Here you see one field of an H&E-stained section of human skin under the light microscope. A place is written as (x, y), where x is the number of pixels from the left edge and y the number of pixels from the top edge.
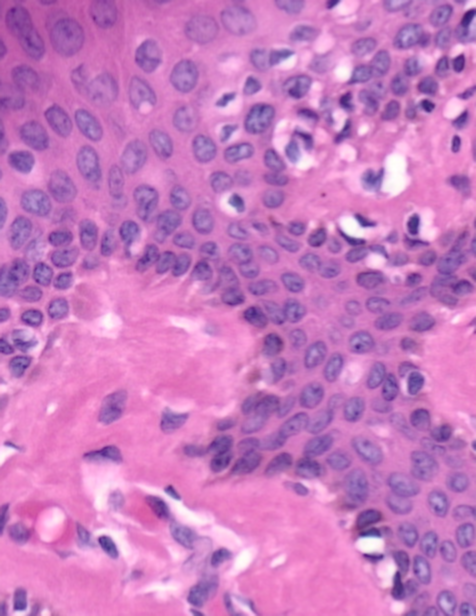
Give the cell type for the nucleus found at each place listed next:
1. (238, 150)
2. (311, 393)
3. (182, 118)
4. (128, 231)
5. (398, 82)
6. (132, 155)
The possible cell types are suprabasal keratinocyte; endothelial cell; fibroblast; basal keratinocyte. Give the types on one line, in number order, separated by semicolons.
suprabasal keratinocyte; suprabasal keratinocyte; suprabasal keratinocyte; basal keratinocyte; basal keratinocyte; suprabasal keratinocyte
